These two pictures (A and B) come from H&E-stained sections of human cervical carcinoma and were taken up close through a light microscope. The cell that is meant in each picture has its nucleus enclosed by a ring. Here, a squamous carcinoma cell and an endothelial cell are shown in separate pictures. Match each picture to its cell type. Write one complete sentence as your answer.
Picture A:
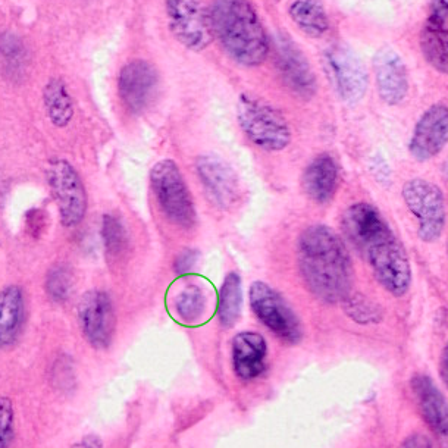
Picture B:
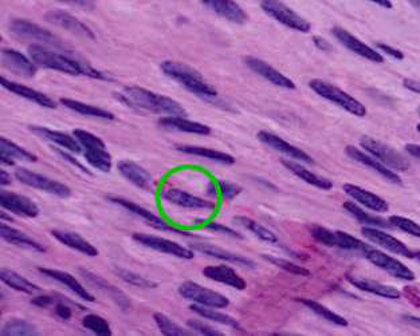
In picture A the cell is a squamous carcinoma cell; in picture B, an endothelial cell.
